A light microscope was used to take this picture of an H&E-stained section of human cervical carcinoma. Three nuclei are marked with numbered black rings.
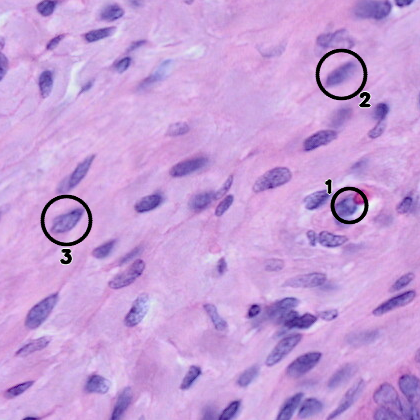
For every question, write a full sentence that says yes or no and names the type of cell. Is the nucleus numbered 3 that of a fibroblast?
Yes, the numbered cell 3 is a fibroblast.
